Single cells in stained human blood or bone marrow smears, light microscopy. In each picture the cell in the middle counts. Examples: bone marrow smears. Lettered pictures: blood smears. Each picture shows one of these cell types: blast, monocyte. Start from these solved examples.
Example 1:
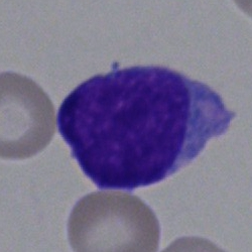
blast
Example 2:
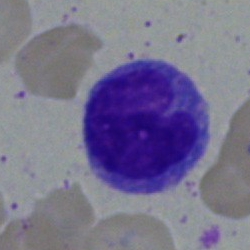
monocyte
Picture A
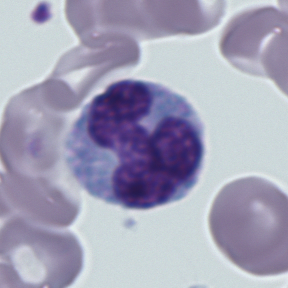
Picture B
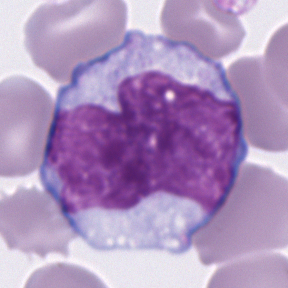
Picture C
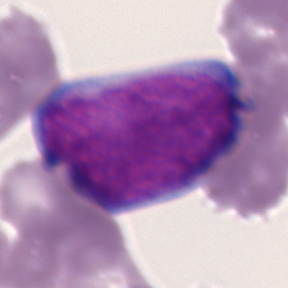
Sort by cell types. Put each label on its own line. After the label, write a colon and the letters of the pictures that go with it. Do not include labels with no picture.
blast: C
monocyte: A, B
